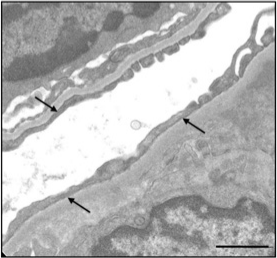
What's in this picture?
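This transmission electron micrograph shows a glomerular capillary wall, with a pale lumen running diagonally across the field. Dense nuclei of cells lining the wall lie at the upper left and lower right. The wall consists of a thin endothelial layer, a grey basement membrane and, outside it, the podocyte layer. Black arrows mark stretches where that outer layer lies as a flat, continuous band along the basement membrane instead of as separate foot processes with slits between them.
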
